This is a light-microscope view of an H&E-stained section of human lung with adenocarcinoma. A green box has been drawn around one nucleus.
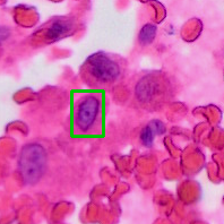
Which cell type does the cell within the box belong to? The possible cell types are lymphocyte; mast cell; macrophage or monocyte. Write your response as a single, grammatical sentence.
Assigned to a cell type, the cell within the box is a macrophage or monocyte.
